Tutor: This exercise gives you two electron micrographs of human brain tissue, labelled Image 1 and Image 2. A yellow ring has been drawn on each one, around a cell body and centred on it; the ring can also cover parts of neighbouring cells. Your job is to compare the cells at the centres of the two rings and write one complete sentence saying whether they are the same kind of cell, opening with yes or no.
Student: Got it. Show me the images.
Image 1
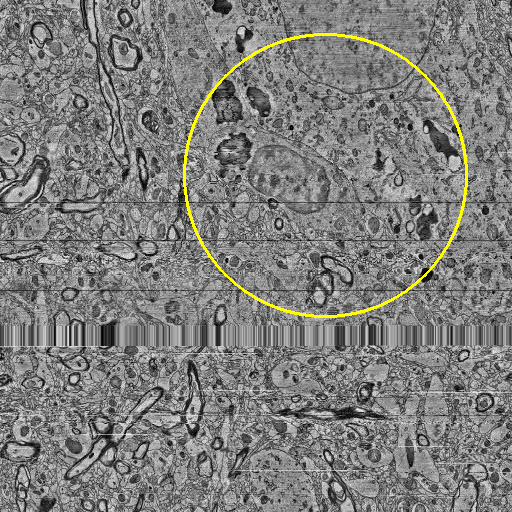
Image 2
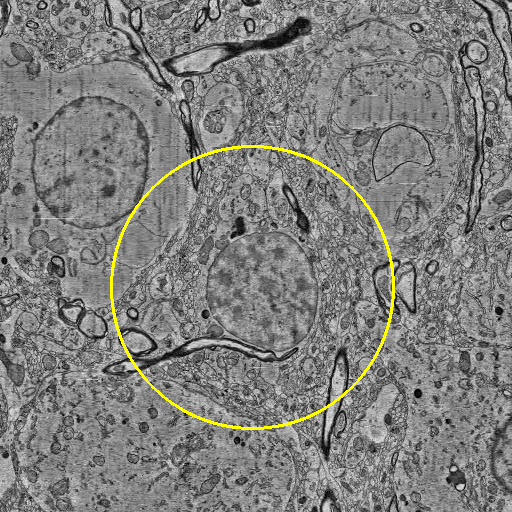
Yes, the two cells belong to the same kind.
